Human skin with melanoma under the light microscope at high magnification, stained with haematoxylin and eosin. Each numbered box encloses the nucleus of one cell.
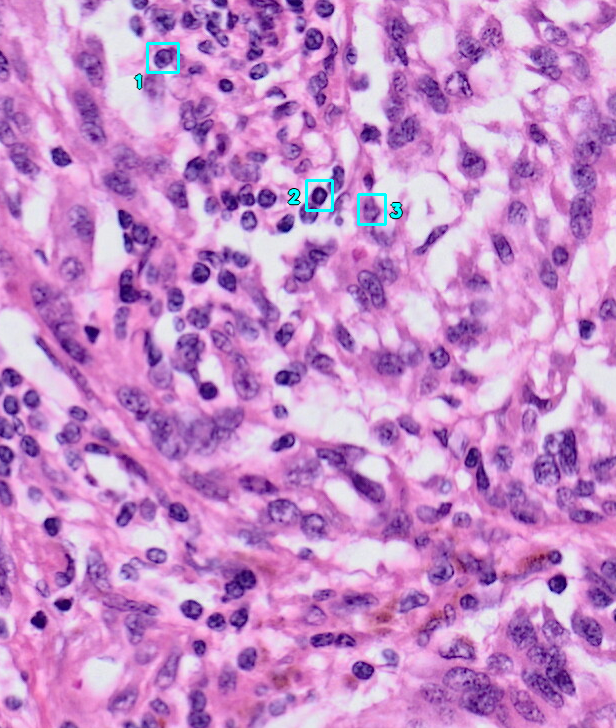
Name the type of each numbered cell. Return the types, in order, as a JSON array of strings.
["lymphocyte", "lymphocyte", "melanoma cell"]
